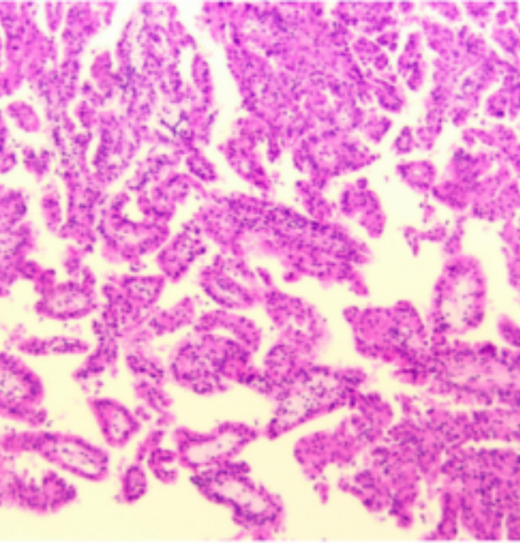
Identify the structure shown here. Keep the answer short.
Papillary structures.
